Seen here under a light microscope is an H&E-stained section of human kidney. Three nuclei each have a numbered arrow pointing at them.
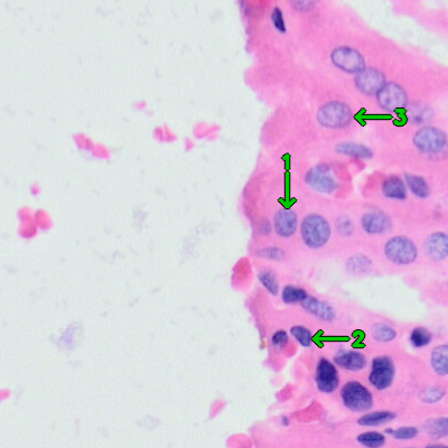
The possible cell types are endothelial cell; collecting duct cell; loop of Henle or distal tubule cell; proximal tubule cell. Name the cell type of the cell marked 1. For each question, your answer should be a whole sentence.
Denoted by the label 1 in the section is a collecting duct cell.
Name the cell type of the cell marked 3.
The cell indicated with the number 3 is classed as a proximal tubule cell.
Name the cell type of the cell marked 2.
The cell referred to as 2 is an endothelial cell.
